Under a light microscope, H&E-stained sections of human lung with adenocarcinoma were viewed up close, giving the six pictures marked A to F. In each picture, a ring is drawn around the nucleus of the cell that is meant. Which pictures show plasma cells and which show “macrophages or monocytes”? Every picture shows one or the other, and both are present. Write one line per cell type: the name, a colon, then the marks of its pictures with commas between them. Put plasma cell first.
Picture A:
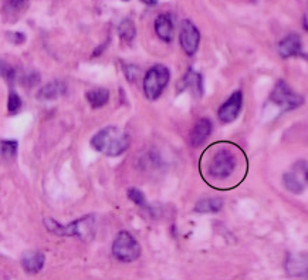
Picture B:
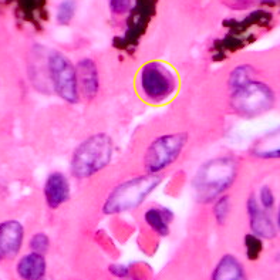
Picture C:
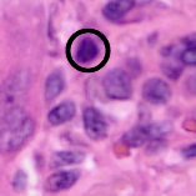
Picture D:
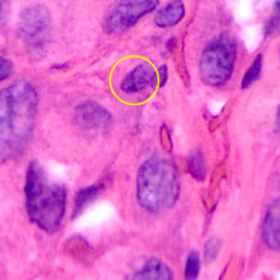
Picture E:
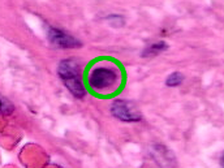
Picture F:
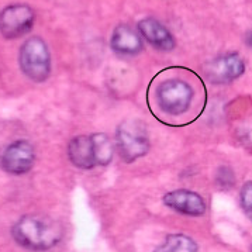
plasma cell: A, B, C, E
macrophage or monocyte: D, F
